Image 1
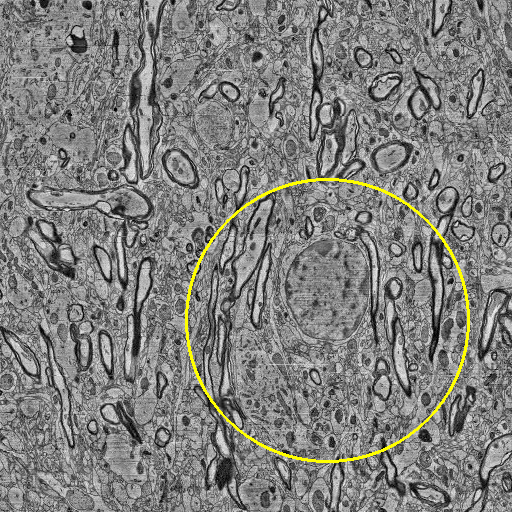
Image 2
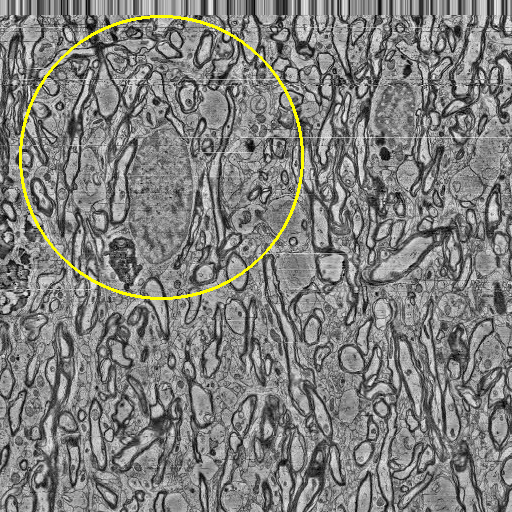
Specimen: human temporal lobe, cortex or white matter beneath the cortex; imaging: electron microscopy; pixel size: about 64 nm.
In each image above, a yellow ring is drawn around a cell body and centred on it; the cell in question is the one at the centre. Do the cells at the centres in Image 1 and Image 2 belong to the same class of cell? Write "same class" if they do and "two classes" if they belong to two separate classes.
two classes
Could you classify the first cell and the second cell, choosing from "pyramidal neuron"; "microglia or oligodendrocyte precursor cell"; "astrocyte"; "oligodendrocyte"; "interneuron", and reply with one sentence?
The second cell is an oligodendrocyte, while the first is a microglial cell or oligodendrocyte precursor cell.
